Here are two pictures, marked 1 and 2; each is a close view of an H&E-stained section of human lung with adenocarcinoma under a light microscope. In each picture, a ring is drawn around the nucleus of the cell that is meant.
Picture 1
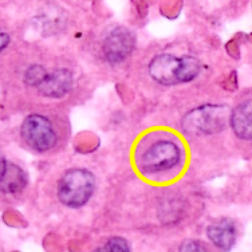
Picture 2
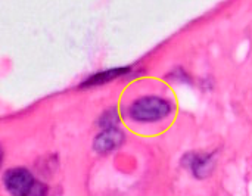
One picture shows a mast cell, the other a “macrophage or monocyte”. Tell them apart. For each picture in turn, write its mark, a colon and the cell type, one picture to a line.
1: macrophage or monocyte
2: mast cell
